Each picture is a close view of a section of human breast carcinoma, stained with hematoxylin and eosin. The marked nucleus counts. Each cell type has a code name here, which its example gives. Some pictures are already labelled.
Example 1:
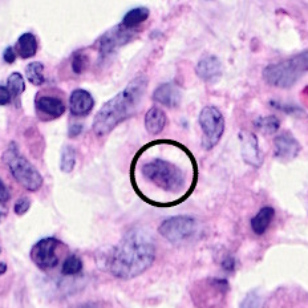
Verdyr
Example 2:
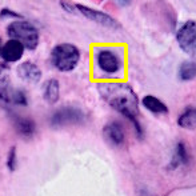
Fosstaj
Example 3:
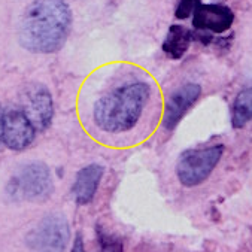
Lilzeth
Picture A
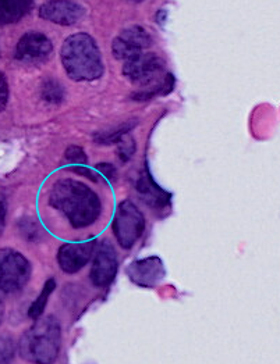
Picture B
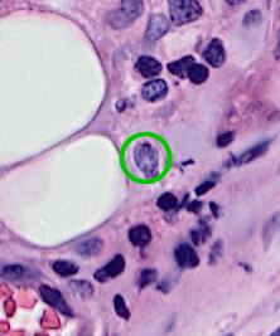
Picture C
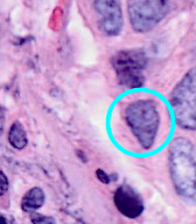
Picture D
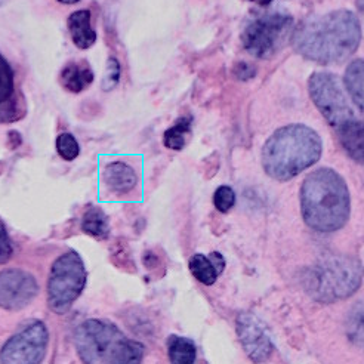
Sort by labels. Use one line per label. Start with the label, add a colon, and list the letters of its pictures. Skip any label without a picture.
Verdyr: B, D
Lilzeth: A, C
